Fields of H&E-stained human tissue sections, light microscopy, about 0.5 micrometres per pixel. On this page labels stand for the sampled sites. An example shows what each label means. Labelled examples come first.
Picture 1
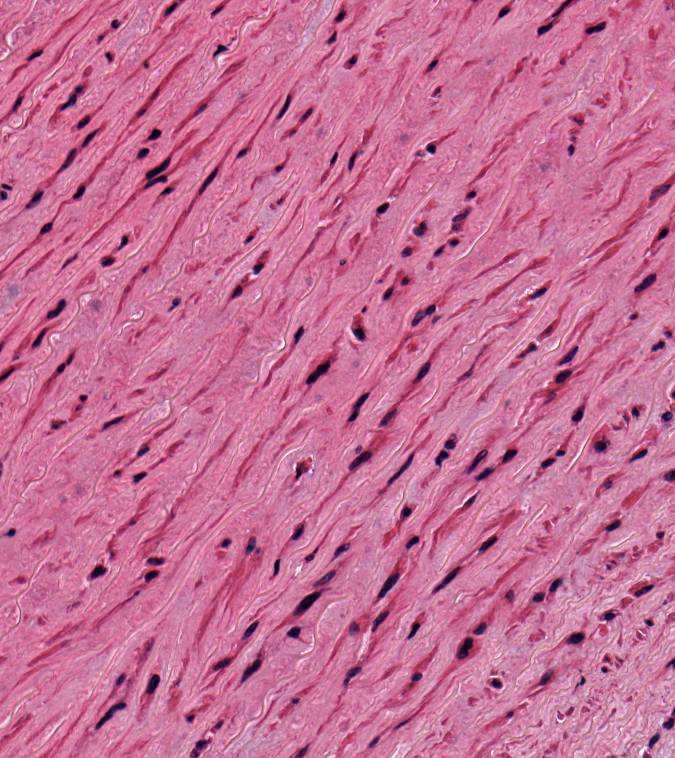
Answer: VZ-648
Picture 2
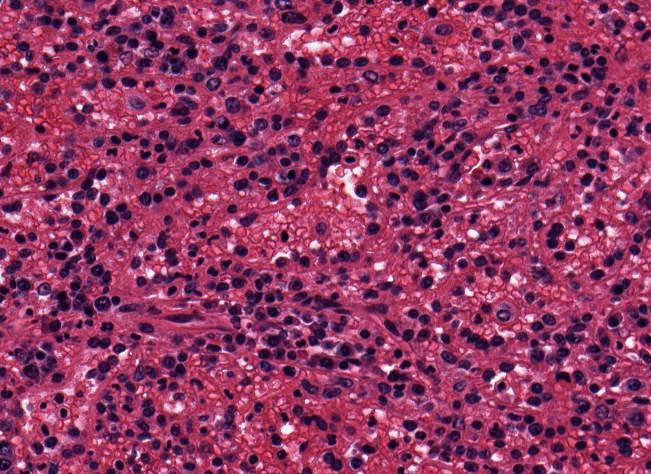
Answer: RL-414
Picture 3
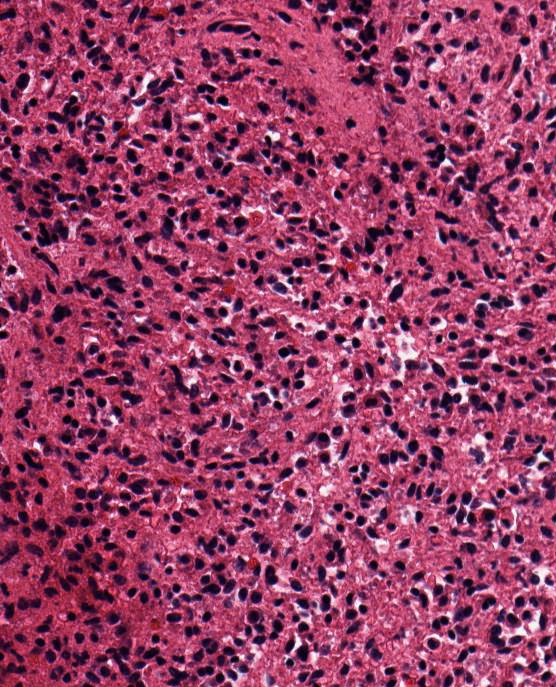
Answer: RL-414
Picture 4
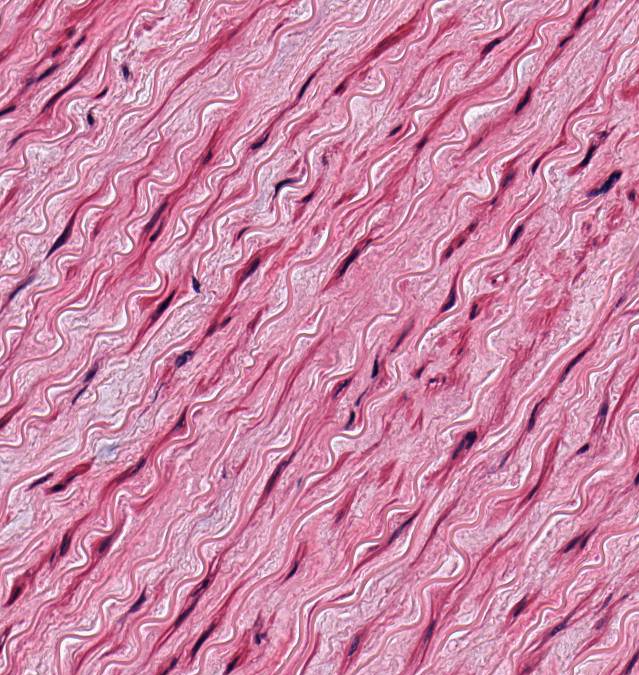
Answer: VZ-648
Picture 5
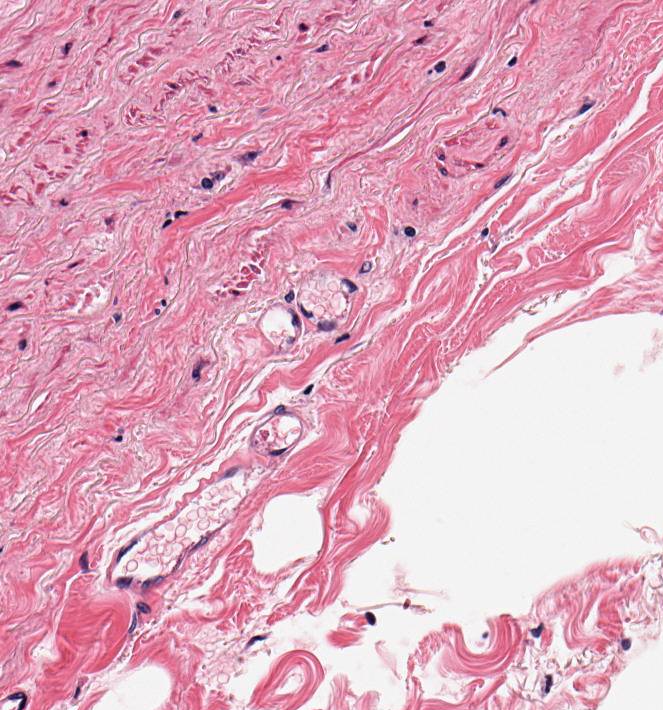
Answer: VZ-648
